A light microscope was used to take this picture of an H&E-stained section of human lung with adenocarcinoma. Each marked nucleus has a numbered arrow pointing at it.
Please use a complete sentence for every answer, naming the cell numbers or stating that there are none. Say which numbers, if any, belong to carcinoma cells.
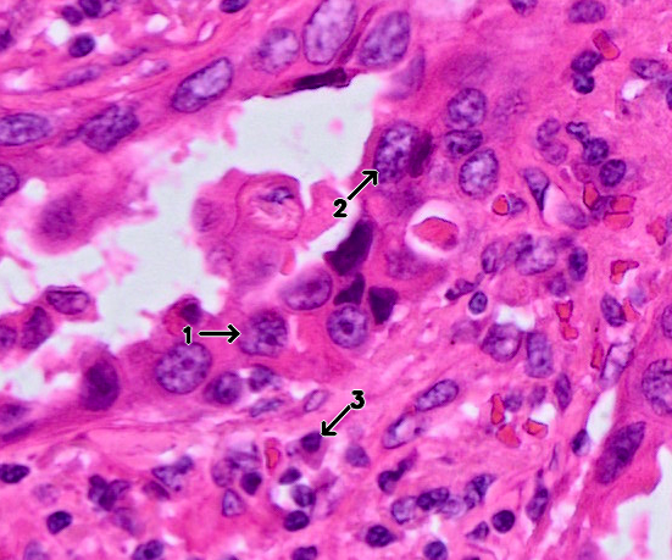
The cells given the numbers 1 and 2 are carcinoma cells.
